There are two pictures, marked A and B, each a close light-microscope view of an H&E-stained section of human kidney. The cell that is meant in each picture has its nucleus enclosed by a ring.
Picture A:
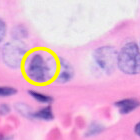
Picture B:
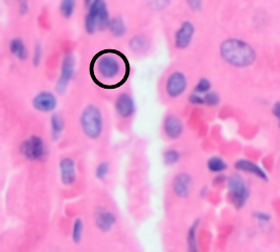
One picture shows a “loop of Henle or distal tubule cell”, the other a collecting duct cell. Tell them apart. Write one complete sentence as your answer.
In picture A the cell is a collecting duct cell; in picture B, a “loop of Henle or distal tubule cell”.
